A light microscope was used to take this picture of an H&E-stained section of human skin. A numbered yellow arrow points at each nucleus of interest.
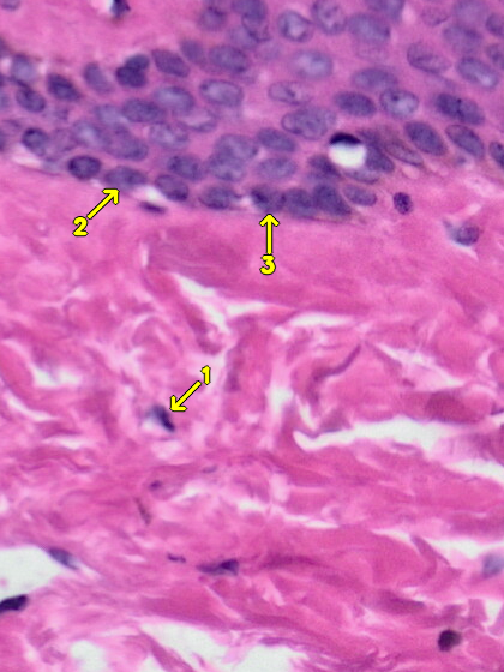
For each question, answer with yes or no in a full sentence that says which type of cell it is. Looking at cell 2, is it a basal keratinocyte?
Yes, the cell that the number 2 labels is a basal keratinocyte.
